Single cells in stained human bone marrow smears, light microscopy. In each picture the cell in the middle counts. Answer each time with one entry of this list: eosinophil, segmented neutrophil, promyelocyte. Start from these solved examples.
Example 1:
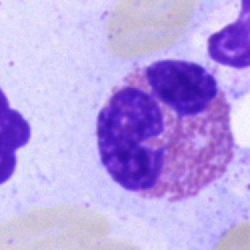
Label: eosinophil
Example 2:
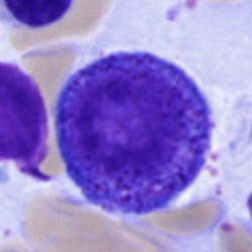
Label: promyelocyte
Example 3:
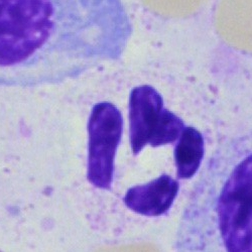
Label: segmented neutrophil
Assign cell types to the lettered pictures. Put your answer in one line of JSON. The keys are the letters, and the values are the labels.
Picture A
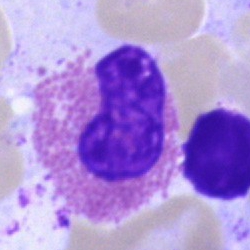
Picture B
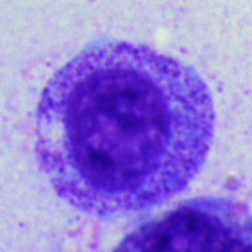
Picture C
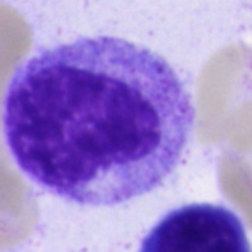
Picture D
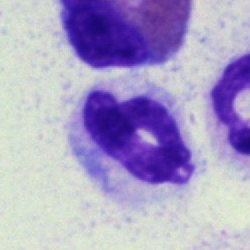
{"A": "eosinophil", "B": "promyelocyte", "C": "promyelocyte", "D": "segmented neutrophil"}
